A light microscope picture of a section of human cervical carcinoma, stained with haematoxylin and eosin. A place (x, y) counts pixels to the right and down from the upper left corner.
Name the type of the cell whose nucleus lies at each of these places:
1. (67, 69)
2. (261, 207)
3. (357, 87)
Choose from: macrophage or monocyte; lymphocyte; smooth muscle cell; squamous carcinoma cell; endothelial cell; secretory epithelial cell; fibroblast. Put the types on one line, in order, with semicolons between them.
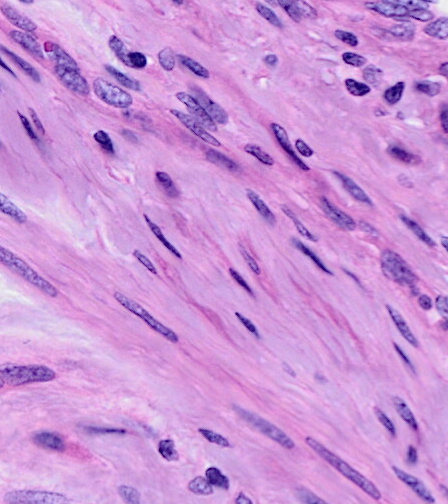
endothelial cell; fibroblast; lymphocyte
